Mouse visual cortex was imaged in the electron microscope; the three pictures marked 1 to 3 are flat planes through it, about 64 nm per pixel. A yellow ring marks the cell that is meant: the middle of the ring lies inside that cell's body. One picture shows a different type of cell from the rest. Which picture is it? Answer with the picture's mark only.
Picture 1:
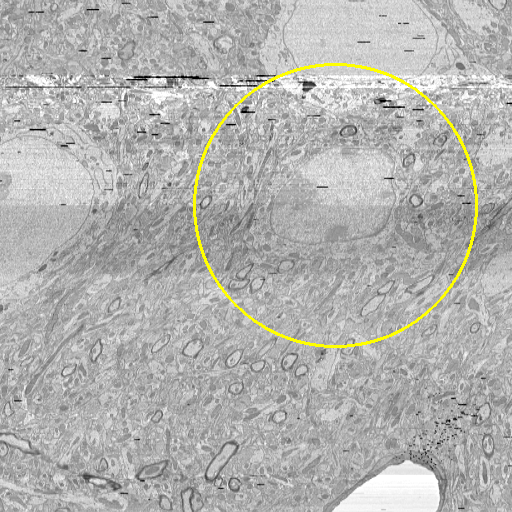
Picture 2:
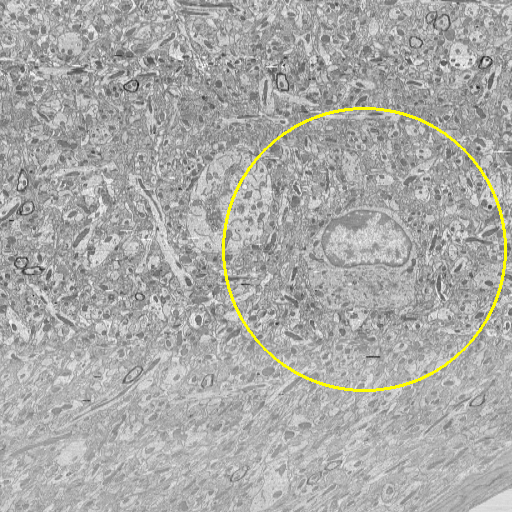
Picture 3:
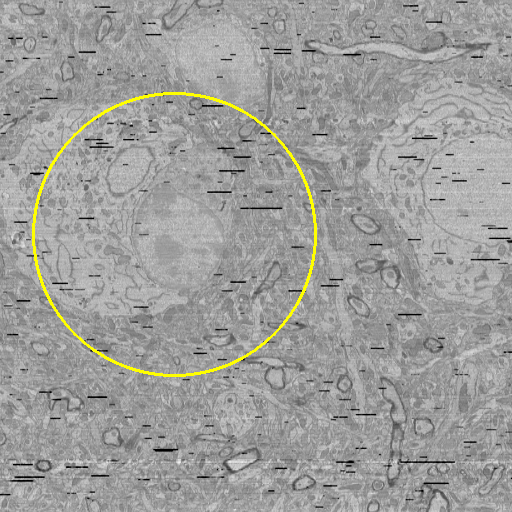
1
